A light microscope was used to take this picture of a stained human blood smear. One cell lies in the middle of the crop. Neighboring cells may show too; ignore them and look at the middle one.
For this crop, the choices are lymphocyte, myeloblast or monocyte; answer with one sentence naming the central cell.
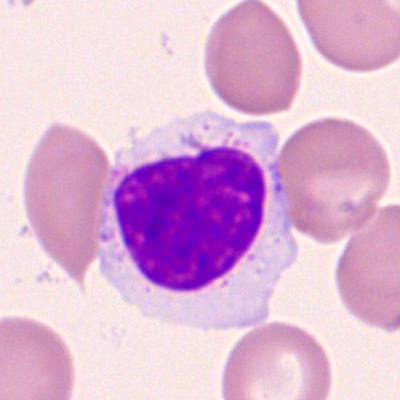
On this slide crop, the central cell is a lymphocyte.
